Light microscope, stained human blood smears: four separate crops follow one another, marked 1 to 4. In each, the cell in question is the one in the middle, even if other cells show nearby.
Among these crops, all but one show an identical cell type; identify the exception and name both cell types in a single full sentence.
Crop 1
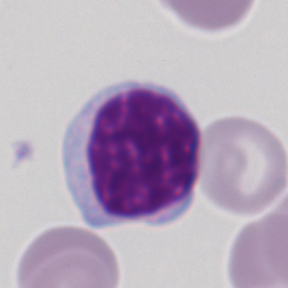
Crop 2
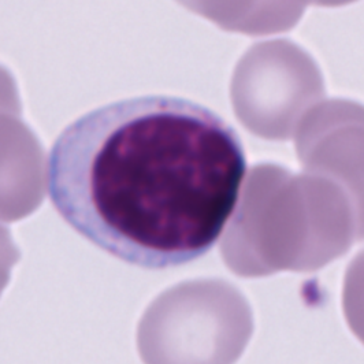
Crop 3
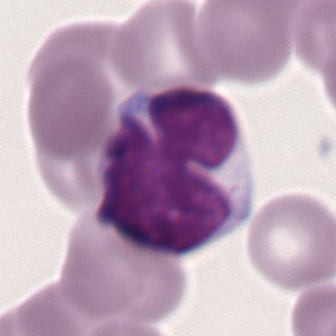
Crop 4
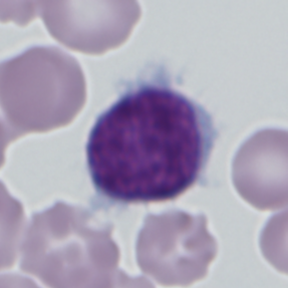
All crops show large granular lymphocytes except crop 4, which is a hairy cell.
